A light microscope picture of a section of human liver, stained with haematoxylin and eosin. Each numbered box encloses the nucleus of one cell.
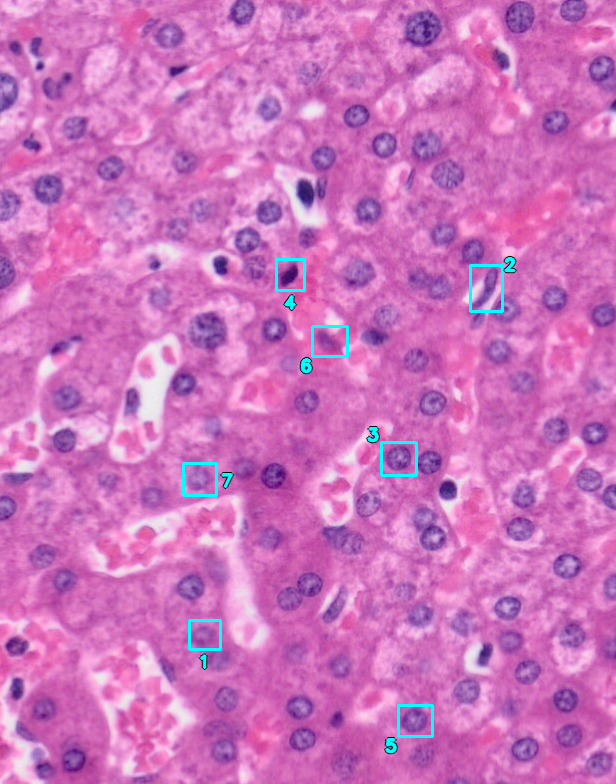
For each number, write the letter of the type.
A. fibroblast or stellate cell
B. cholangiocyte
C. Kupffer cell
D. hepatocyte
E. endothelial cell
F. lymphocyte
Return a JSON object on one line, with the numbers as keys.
{"1": "D", "2": "C", "3": "D", "4": "A", "5": "D", "6": "C", "7": "D"}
